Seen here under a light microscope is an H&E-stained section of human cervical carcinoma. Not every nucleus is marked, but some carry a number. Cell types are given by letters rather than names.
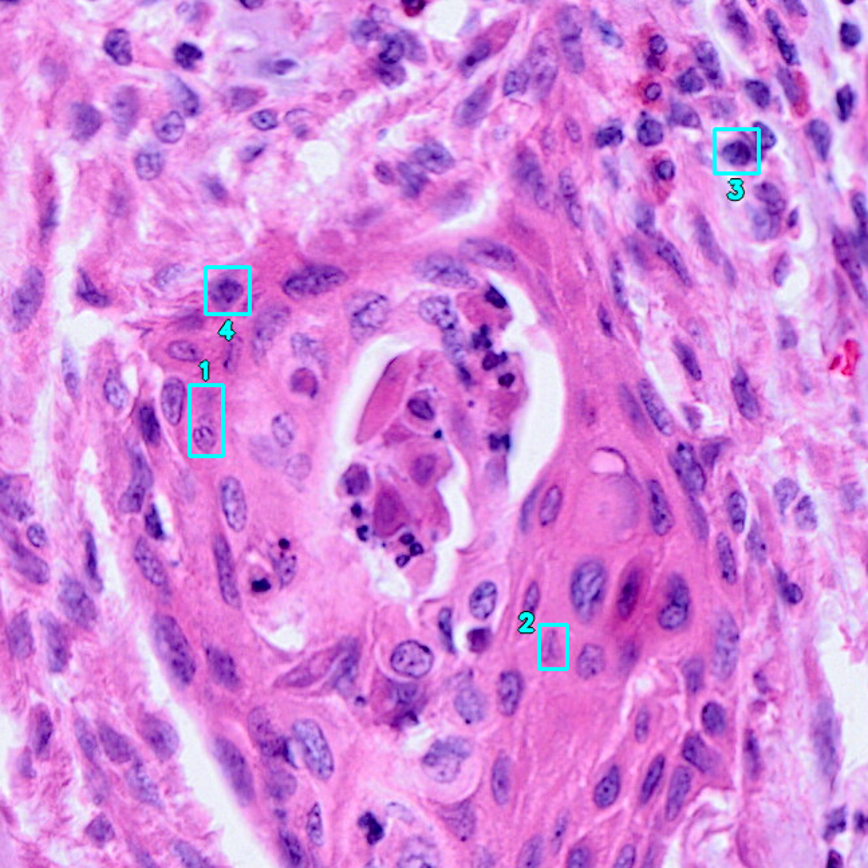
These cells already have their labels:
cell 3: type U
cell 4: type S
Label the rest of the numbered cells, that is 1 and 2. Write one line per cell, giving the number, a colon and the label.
1: type S
2: type S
